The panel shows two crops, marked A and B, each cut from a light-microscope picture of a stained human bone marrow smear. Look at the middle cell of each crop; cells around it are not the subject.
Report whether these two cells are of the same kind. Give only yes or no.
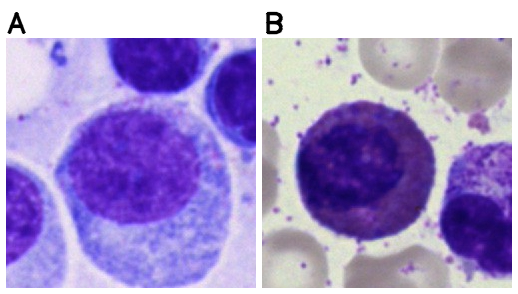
no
